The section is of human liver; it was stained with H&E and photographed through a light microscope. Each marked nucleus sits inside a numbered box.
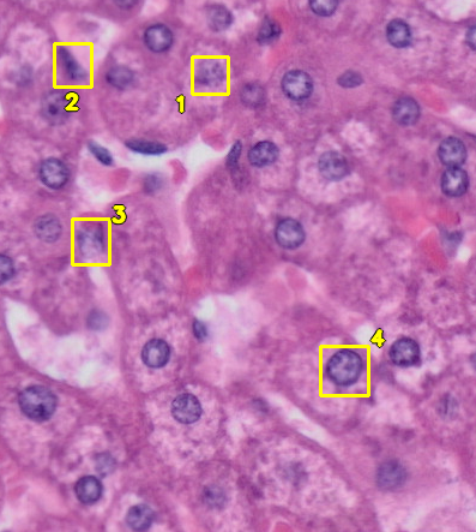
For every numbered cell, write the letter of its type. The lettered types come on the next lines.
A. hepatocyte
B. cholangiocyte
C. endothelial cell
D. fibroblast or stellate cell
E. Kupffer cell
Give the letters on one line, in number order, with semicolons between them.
A; C; C; A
